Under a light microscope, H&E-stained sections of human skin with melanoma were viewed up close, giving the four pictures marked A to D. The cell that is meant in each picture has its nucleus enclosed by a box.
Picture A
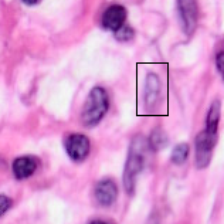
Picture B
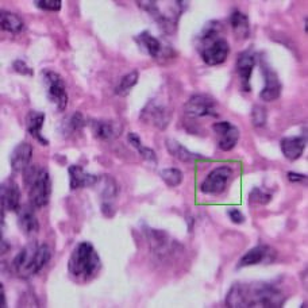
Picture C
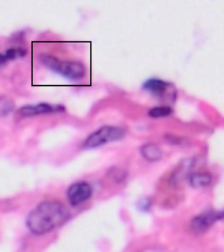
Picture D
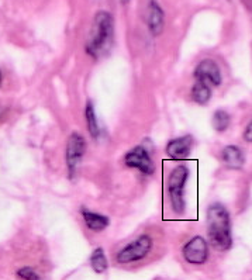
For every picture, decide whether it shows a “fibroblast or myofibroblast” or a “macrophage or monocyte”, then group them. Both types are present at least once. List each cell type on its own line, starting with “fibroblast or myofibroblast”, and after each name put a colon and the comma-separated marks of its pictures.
fibroblast or myofibroblast: A
macrophage or monocyte: B, C, D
